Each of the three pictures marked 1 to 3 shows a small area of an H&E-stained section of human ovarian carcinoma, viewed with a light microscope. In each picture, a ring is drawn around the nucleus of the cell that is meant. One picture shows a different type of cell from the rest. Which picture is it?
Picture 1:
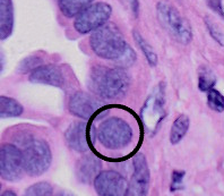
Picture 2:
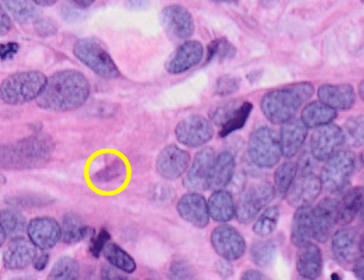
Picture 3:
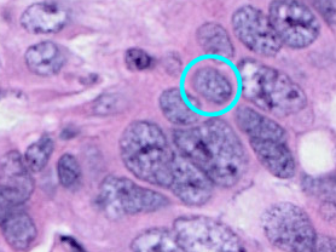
2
